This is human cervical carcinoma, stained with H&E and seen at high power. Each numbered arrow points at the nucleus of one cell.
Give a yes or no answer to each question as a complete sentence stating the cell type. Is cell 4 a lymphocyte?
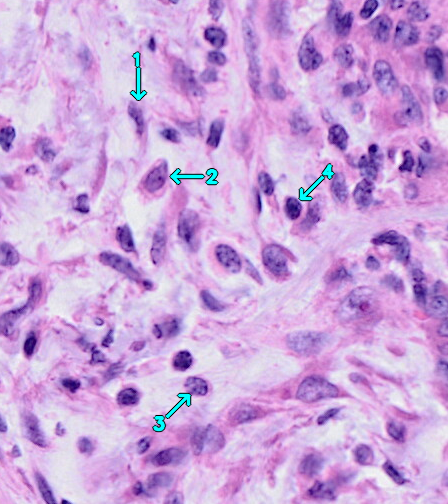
Yes, the cell identified as number 4 is a lymphocyte.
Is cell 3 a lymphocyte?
Yes, the cell distinguished by number 3 is a lymphocyte.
